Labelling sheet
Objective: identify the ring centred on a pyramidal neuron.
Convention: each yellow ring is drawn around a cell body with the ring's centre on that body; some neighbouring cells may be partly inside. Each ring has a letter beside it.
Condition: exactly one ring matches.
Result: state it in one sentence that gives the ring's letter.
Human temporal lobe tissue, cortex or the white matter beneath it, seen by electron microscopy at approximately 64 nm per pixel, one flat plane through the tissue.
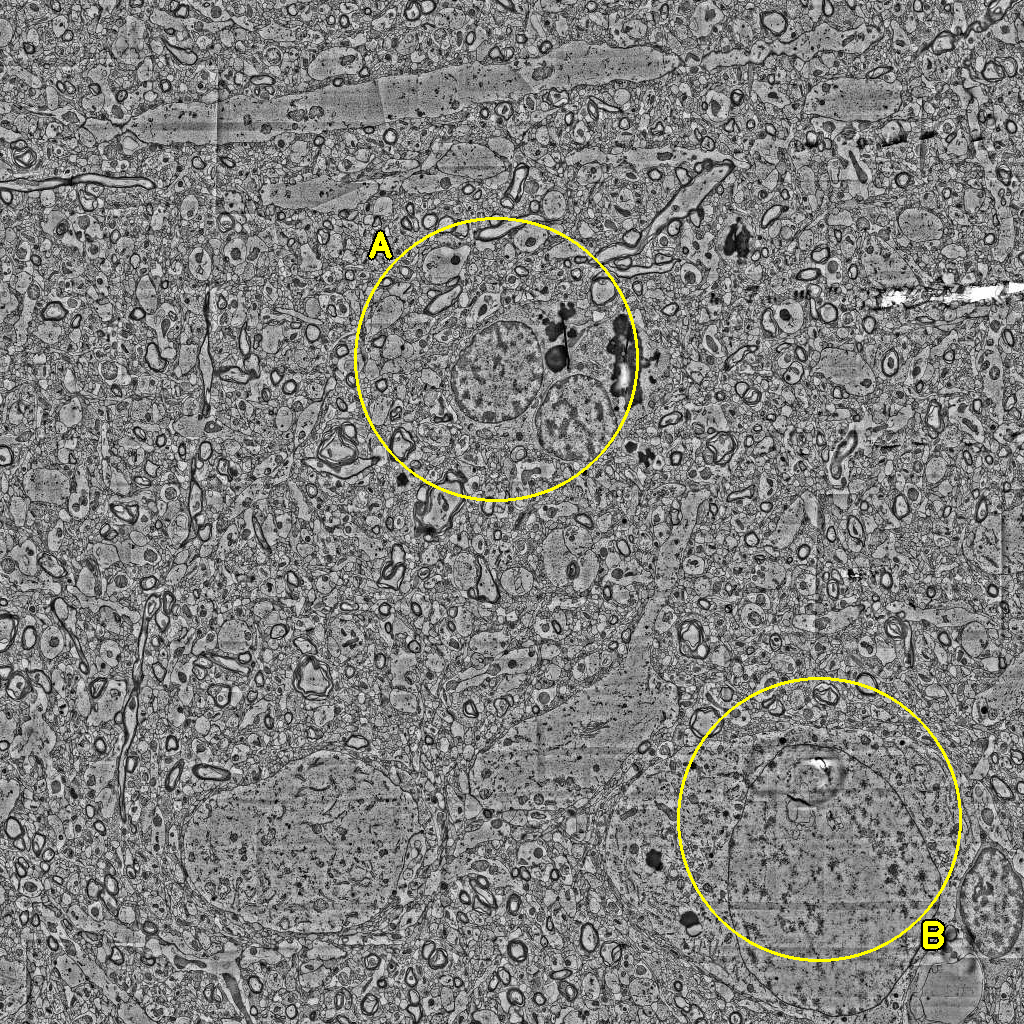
It lies at the centre of ring B.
